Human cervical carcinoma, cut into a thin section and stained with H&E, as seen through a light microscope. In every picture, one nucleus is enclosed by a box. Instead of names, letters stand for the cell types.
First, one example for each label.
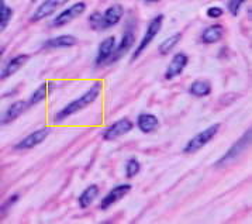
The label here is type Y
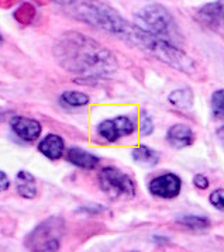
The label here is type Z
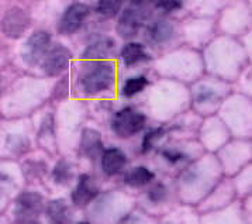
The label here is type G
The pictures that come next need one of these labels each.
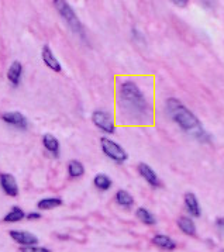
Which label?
type Y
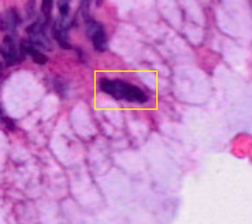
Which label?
type G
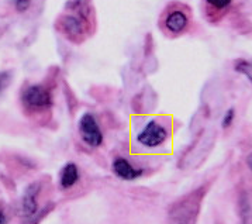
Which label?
type Z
